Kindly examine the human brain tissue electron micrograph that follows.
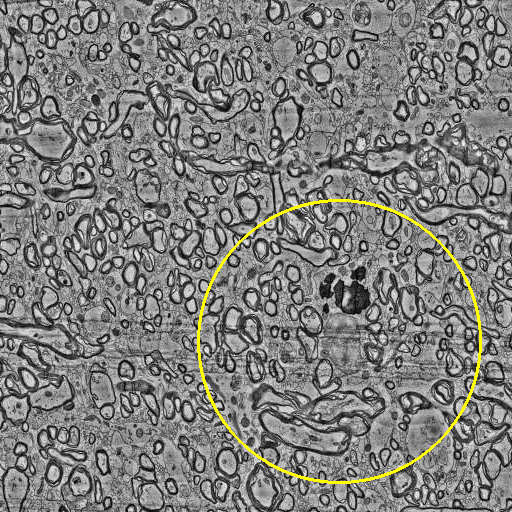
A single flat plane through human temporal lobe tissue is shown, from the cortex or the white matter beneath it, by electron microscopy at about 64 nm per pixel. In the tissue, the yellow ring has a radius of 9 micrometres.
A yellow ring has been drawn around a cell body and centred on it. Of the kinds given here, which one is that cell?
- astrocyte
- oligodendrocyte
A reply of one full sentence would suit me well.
The micrograph's ringed cell, the one at the ring's centre, is an oligodendrocyte.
